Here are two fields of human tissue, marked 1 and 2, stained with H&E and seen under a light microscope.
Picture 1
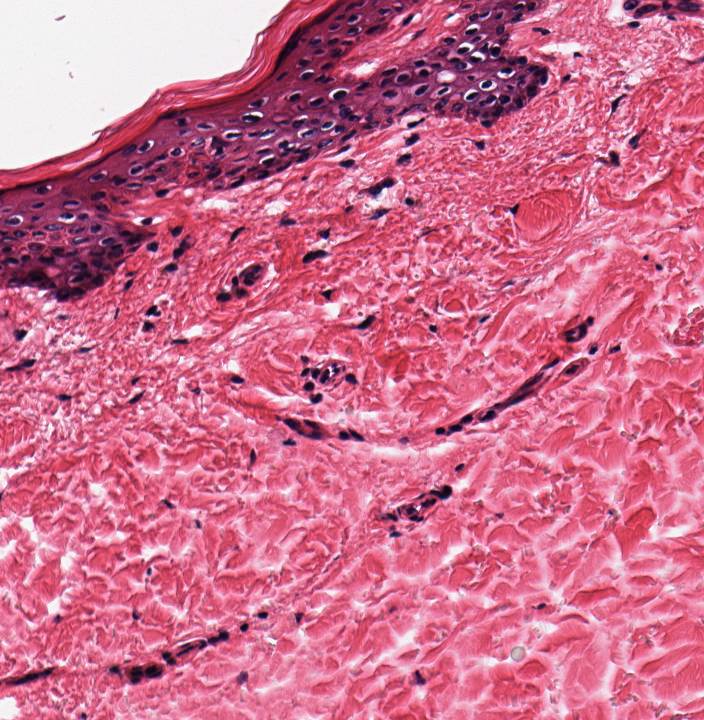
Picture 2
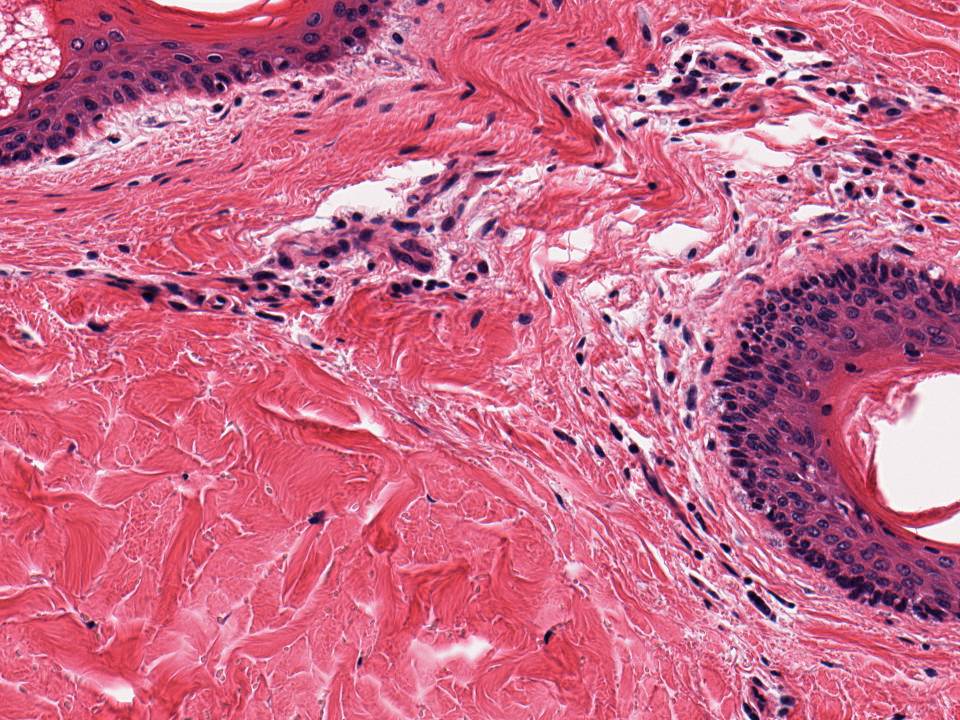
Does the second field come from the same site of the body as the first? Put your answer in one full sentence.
Yes, they come from the same site of the body: both come from the skin of the suprapubic region.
